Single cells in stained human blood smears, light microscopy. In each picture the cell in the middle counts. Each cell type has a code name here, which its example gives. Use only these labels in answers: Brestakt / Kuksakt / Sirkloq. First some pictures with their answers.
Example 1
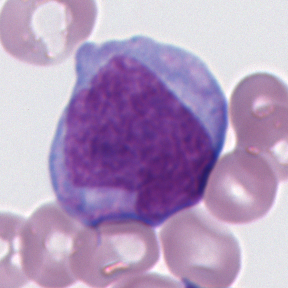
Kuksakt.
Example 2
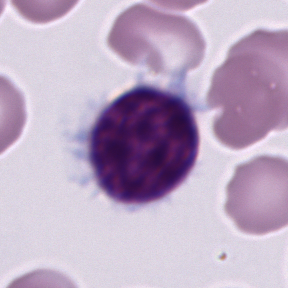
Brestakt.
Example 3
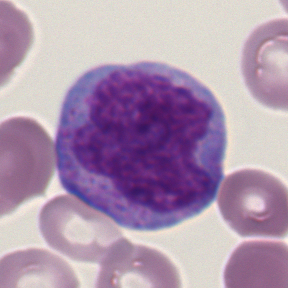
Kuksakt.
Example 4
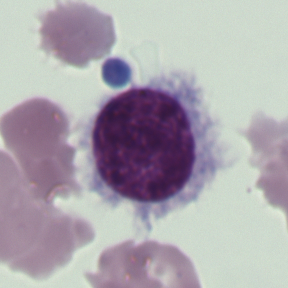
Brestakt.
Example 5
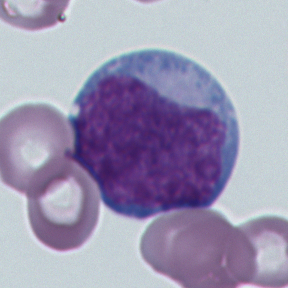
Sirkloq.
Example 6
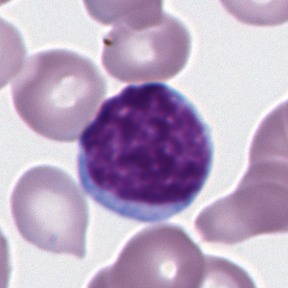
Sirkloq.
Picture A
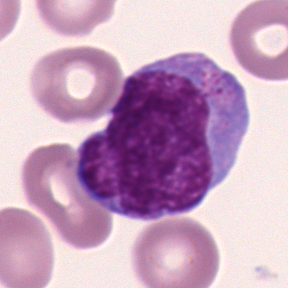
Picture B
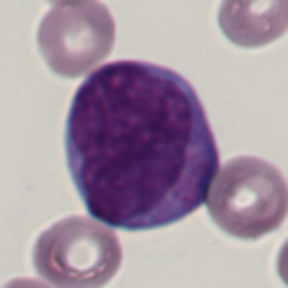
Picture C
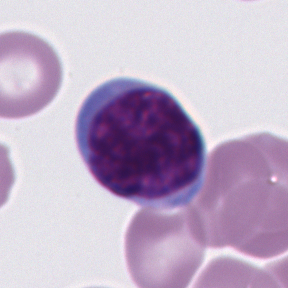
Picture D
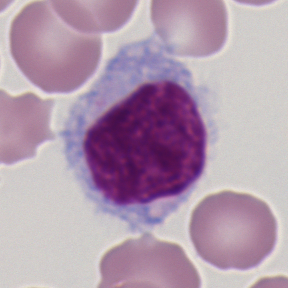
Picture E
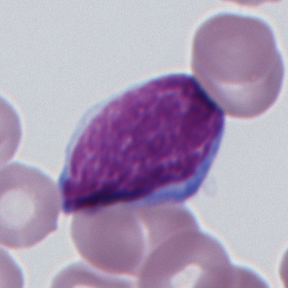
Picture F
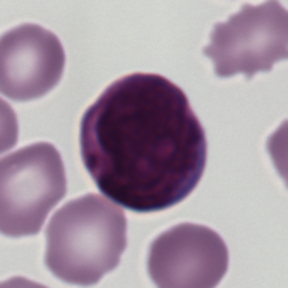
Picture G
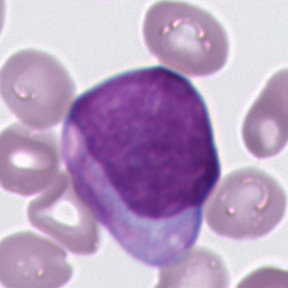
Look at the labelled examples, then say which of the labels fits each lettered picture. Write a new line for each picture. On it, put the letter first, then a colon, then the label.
A: Kuksakt.
B: Kuksakt.
C: Sirkloq.
D: Brestakt.
E: Sirkloq.
F: Sirkloq.
G: Kuksakt.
